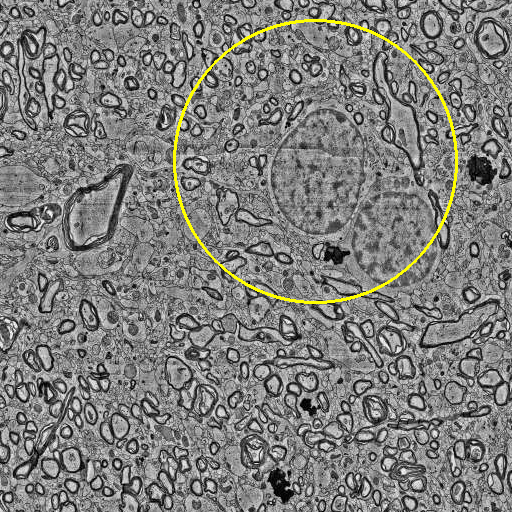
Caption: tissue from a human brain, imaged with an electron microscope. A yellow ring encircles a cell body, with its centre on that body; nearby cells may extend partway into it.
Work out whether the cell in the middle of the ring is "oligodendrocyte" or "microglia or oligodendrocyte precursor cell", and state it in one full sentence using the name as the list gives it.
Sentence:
In the picture, the cell that the yellow ring surrounds at its centre is a microglial cell or oligodendrocyte precursor cell.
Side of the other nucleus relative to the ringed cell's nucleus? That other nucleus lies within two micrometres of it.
The second nucleus is to the lower right of it.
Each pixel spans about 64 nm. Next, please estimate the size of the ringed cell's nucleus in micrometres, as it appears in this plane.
Roughly 8 micrometres by 6 micrometres, in this plane.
